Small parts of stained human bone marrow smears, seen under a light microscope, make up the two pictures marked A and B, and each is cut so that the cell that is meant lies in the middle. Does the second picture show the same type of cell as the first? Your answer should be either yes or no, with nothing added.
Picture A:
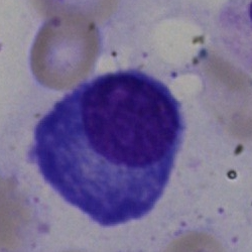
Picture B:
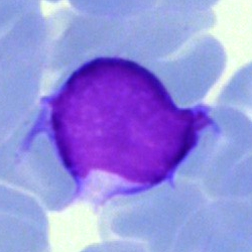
no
